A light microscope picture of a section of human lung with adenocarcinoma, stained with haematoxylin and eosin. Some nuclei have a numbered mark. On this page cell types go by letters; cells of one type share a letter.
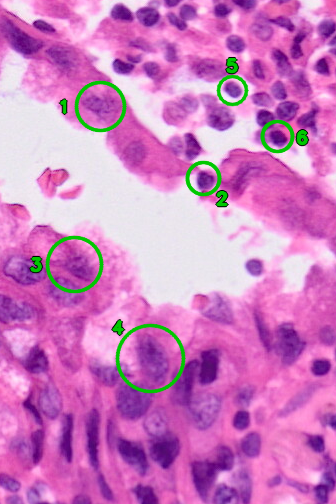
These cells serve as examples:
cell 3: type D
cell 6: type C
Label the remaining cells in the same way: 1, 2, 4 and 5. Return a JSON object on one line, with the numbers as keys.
{"1": "type D", "2": "type C", "4": "type D", "5": "type C"}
